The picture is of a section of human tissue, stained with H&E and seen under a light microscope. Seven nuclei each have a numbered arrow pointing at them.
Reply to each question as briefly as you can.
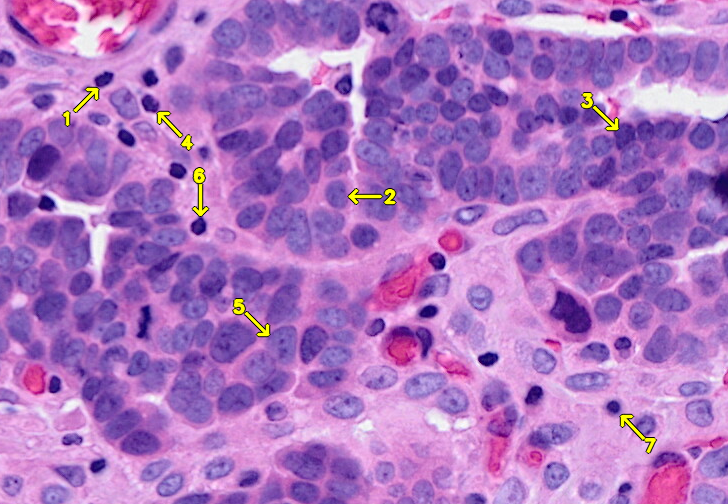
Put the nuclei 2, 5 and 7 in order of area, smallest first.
7, 2, 5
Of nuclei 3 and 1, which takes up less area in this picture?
1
